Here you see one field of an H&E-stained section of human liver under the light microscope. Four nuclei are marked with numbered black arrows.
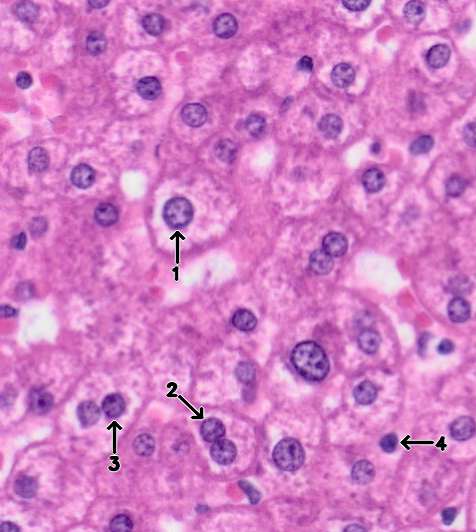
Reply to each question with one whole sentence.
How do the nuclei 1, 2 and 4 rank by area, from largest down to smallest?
From largest to smallest, the order is 1, 2, 4.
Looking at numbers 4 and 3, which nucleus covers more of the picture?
At about 1.5 times the area of nucleus 4, nucleus 3 is the larger of the two.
